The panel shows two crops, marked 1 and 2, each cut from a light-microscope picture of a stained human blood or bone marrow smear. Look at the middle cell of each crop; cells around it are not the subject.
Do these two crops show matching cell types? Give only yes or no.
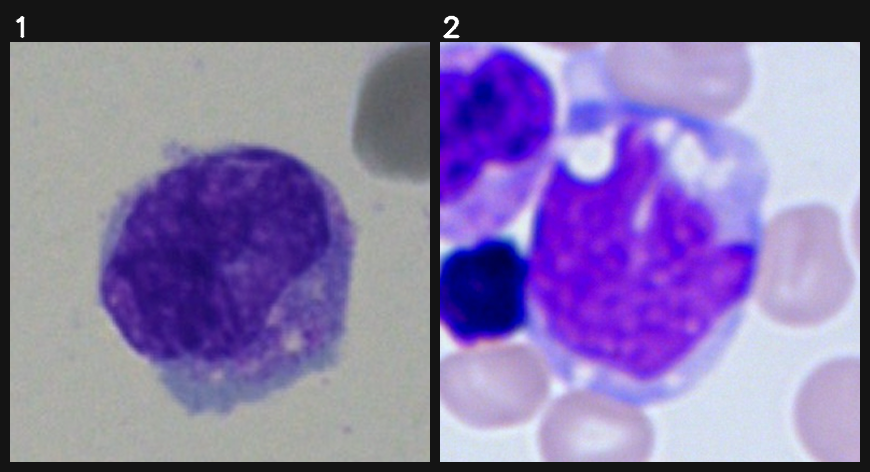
yes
